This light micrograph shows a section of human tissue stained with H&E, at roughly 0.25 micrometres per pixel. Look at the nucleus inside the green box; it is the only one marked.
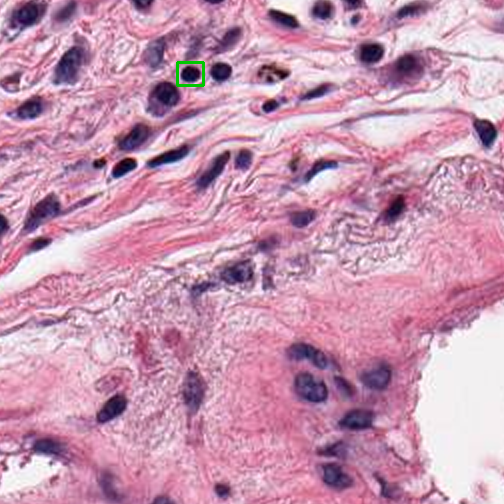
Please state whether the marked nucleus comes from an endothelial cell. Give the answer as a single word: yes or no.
no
